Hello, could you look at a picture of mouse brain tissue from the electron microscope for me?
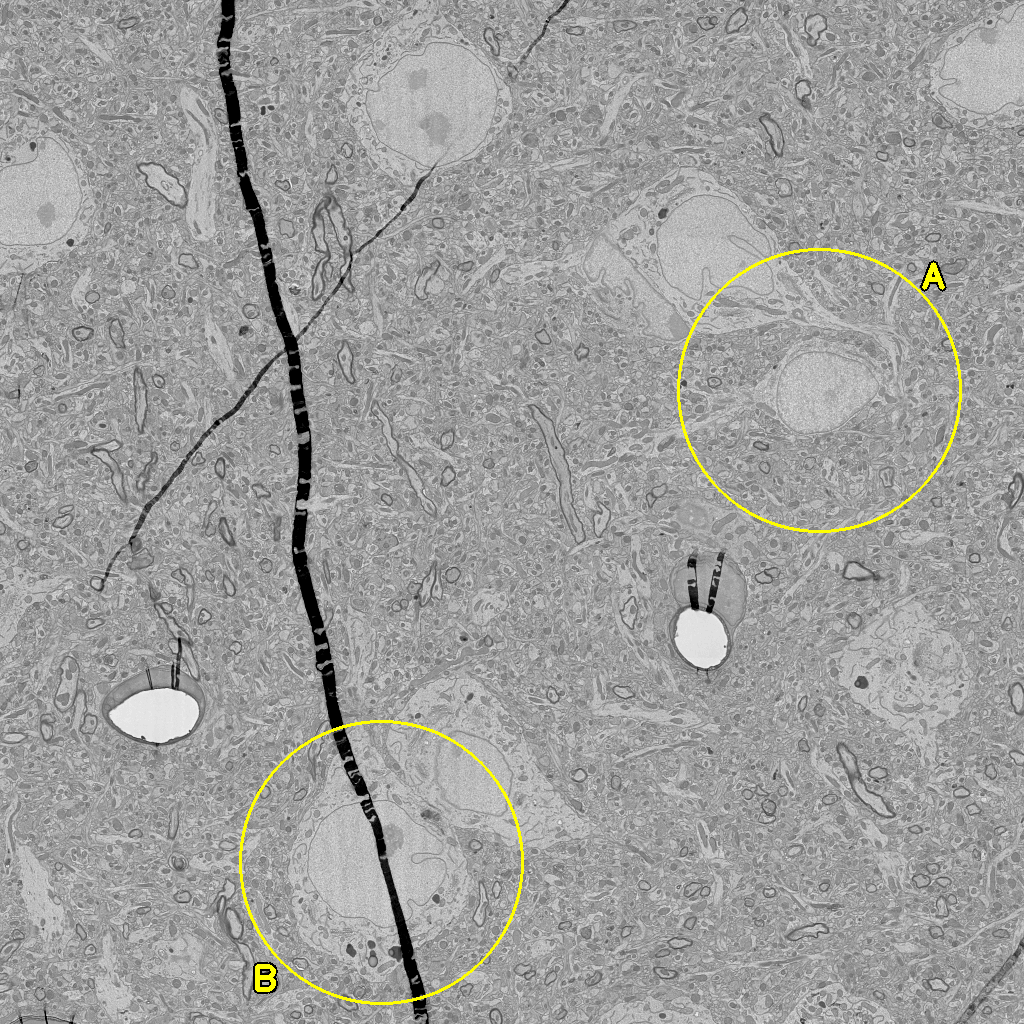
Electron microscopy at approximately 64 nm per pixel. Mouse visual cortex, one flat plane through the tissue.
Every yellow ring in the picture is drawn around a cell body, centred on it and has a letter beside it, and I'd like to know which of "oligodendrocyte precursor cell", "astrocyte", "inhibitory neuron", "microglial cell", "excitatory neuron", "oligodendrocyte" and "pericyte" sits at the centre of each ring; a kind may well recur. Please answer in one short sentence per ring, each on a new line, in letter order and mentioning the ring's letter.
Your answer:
The cell sitting at the centre of ring A is an astrocyte.
The cell sitting at the centre of ring B is an excitatory neuron.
